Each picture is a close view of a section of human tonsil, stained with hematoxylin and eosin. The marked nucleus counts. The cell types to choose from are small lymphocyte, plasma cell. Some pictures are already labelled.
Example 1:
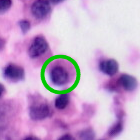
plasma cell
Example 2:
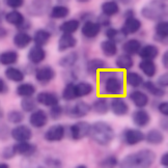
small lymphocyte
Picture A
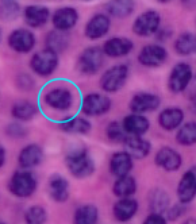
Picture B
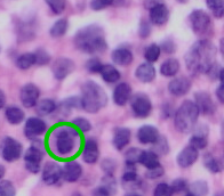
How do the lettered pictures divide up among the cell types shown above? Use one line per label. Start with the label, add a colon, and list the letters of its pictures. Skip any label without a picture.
small lymphocyte: B
plasma cell: A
